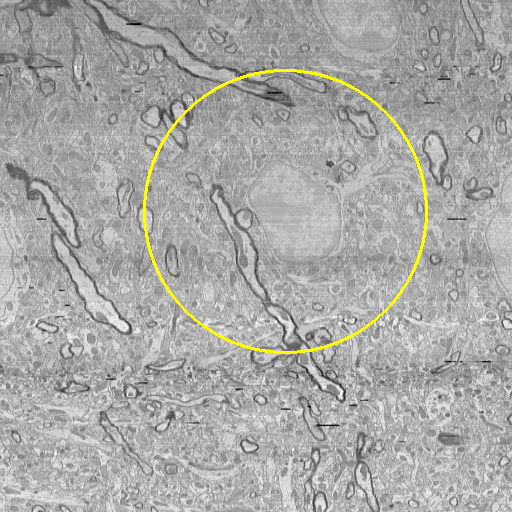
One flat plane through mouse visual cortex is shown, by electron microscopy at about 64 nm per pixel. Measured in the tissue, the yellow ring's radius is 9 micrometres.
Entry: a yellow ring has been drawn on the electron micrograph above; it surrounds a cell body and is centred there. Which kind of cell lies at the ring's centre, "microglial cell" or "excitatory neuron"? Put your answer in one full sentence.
The cell sitting at the ring's centre is a microglial cell in the micrograph above.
